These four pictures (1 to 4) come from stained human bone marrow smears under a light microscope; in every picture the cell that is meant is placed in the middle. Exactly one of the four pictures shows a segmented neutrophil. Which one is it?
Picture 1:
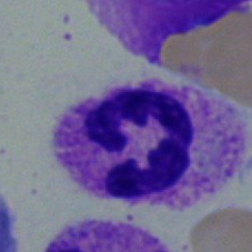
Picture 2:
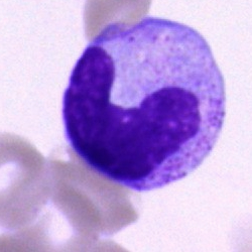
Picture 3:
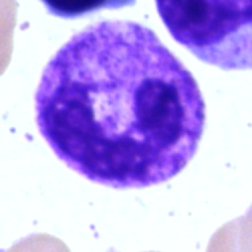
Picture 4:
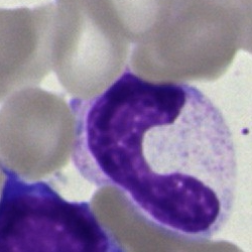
1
